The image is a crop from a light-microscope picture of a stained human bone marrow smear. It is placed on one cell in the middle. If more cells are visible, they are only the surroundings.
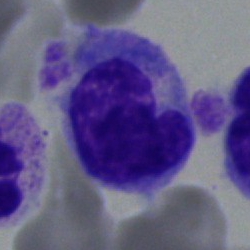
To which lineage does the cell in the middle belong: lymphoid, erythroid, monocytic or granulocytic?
monocytic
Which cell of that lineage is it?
monocyte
